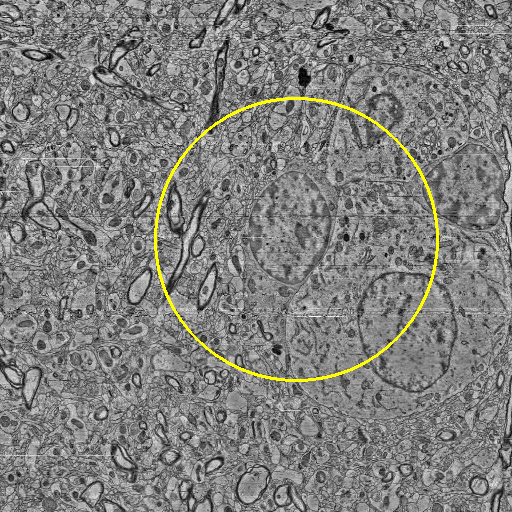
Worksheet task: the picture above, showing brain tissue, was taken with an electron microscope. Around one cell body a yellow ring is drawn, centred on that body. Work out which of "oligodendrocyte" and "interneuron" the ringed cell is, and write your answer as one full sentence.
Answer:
It is an oligodendrocyte whose cell body lies at the centre of the yellow ring.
